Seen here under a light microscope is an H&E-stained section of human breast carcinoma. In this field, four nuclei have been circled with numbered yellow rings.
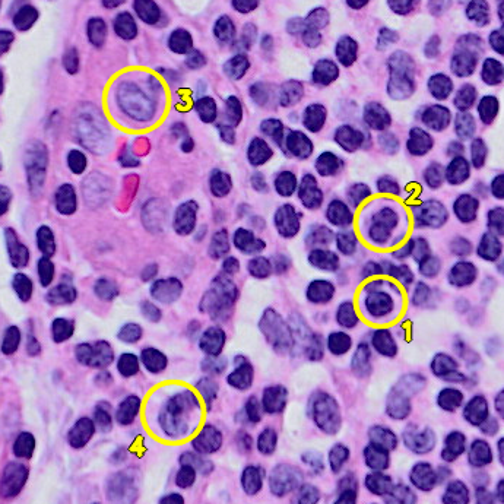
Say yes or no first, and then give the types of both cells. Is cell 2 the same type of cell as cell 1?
Yes, cell number 2 and cell number 1 are both lymphocytes.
